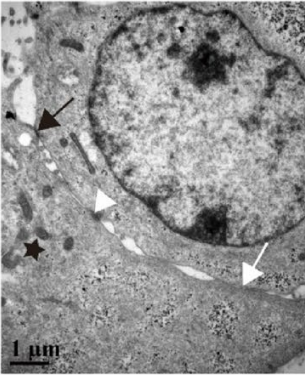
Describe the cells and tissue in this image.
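One cell holds a large, round nucleus with finely dispersed chromatin and dark, dense clumps inside it, bounded by a clear nuclear envelope. The surrounding cytoplasm contains scattered mitochondria and clusters of small dark granules. Thin plasma membranes of neighbouring cells run side by side, separated by narrow, partly widened intercellular spaces. Arrows and arrowheads point to sites along these cell boundaries where the neighbouring membranes meet.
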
